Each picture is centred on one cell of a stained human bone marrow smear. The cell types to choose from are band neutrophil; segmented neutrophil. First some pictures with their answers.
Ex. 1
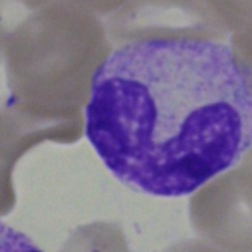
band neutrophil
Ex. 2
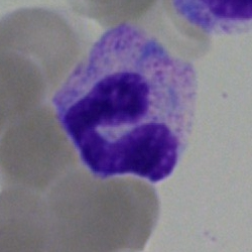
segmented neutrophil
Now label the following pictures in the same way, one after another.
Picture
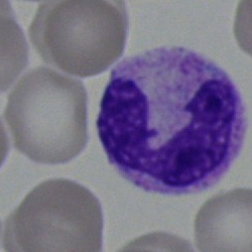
band neutrophil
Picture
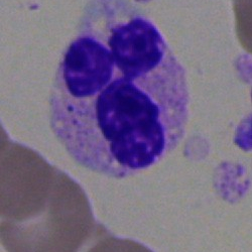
segmented neutrophil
